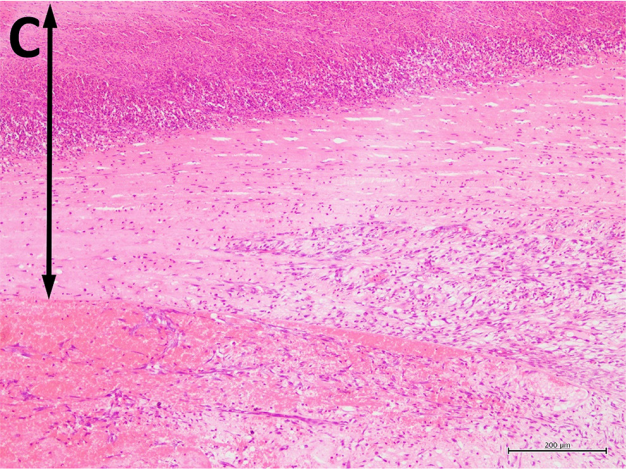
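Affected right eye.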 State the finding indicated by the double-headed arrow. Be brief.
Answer: Corneal tissue is thickened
